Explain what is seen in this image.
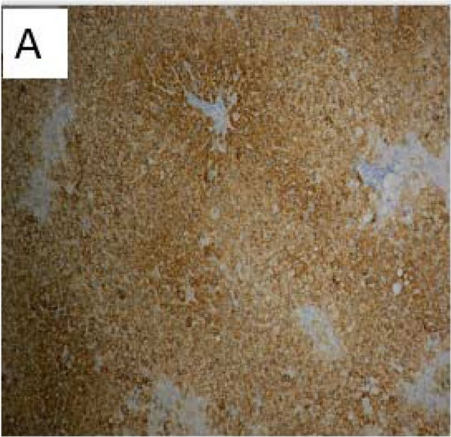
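Low-power view of liver parenchyma in which hepatocytes are stained a strong, granular brown throughout their cytoplasm. The brown cells form a nearly continuous sheet, with faint radiating cords visible in places. Scattered through the field are small pale blue-grey spaces with irregular outlines, the vessels and their surrounding connective tissue, which take up no brown stain. The staining is dense and fairly uniform across the section, with slightly darker zones in parts of the field, and no large unstained regions of parenchyma are seen.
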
